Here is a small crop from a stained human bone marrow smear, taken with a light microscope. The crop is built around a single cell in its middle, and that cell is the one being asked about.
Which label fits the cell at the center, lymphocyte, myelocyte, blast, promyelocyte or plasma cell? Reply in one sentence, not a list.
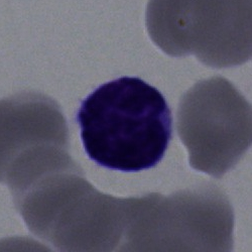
Whatever else lies nearby, the middle cell is a lymphocyte.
